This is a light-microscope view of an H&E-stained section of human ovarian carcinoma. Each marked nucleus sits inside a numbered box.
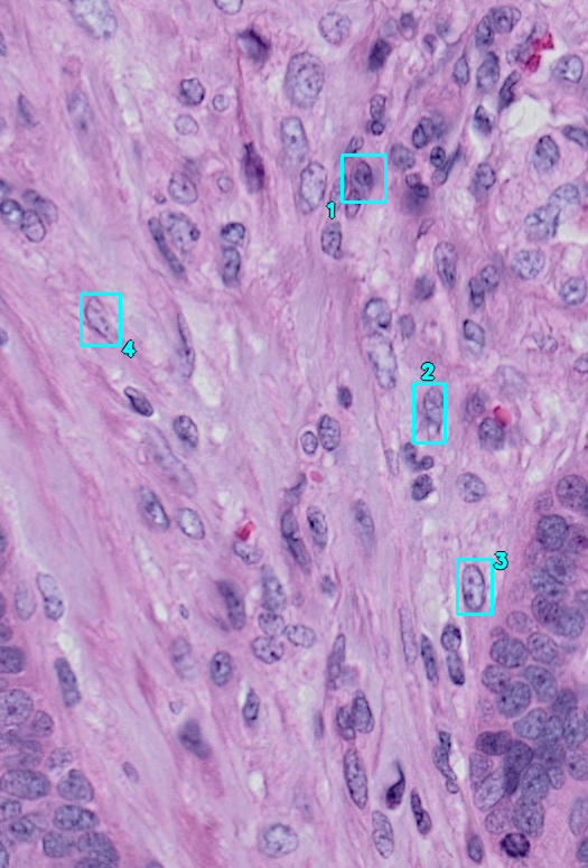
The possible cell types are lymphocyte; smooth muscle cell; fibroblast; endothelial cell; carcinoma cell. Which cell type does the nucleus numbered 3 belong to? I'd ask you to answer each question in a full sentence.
The correct label for cell 3 is a fibroblast.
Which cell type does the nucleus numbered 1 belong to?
The cell that goes by number 1 is an endothelial cell.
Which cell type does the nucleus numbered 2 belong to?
The nucleus marked 2 is the nucleus of a fibroblast.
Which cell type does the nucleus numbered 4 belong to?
The numbered cell 4 is identified here as a fibroblast.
